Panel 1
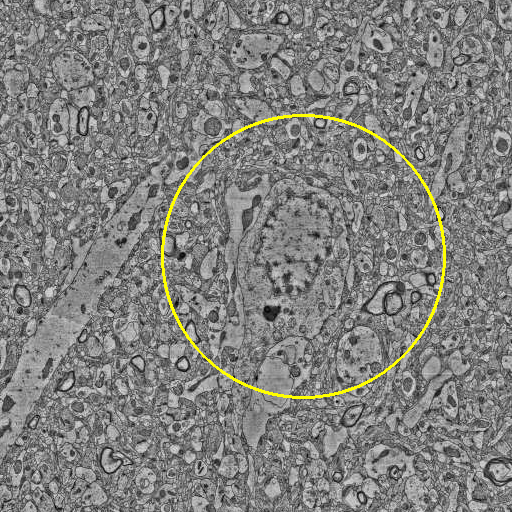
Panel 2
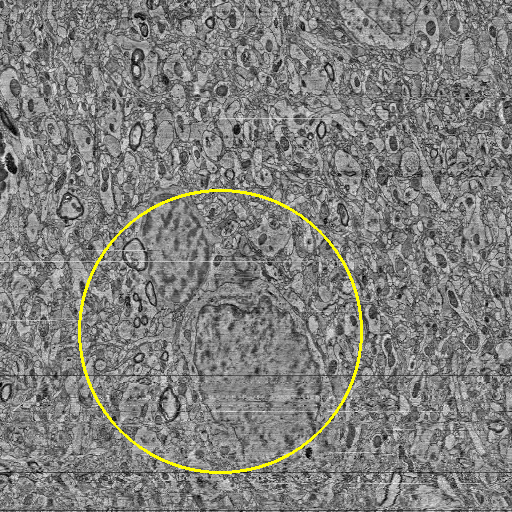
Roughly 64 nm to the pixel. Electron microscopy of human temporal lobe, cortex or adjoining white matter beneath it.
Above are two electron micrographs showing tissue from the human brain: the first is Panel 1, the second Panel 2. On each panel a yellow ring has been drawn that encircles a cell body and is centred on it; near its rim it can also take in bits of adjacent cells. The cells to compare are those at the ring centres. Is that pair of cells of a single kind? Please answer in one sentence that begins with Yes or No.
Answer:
Yes, the ring-centred cells of Panel 1 and Panel 2 belong to one kind.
